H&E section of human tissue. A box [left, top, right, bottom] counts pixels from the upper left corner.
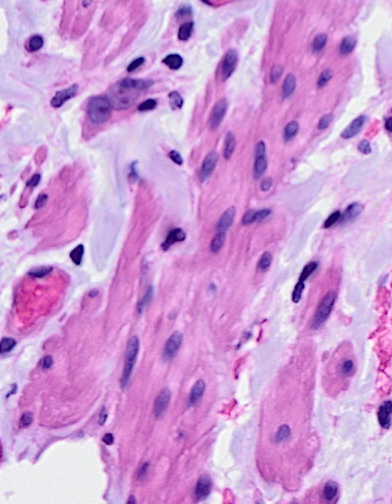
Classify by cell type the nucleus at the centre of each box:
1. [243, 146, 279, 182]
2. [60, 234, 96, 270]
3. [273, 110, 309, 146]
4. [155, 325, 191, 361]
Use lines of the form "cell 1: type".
cell 1: smooth muscle cell
cell 2: lymphocyte
cell 3: smooth muscle cell
cell 4: smooth muscle cell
